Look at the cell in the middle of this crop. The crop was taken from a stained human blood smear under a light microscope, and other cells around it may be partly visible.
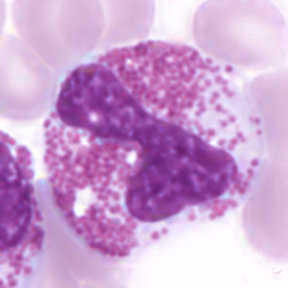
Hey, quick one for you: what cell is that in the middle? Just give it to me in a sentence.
Centrally within this crop lies an eosinophil.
